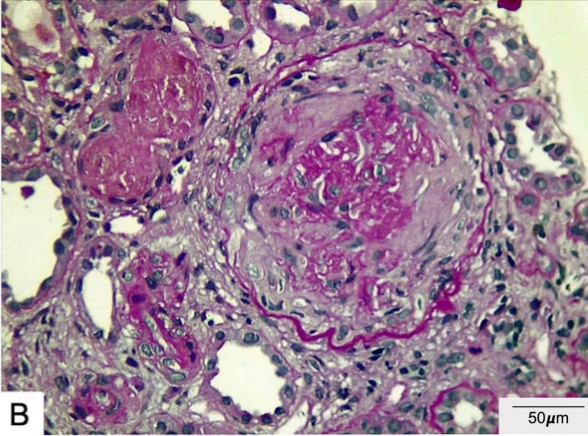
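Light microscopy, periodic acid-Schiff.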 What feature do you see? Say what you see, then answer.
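Crescents. A magenta glomerular tuft is surrounded by a broad pale rim of cells and matrix. The rim lies inside a thick magenta capsule outline.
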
